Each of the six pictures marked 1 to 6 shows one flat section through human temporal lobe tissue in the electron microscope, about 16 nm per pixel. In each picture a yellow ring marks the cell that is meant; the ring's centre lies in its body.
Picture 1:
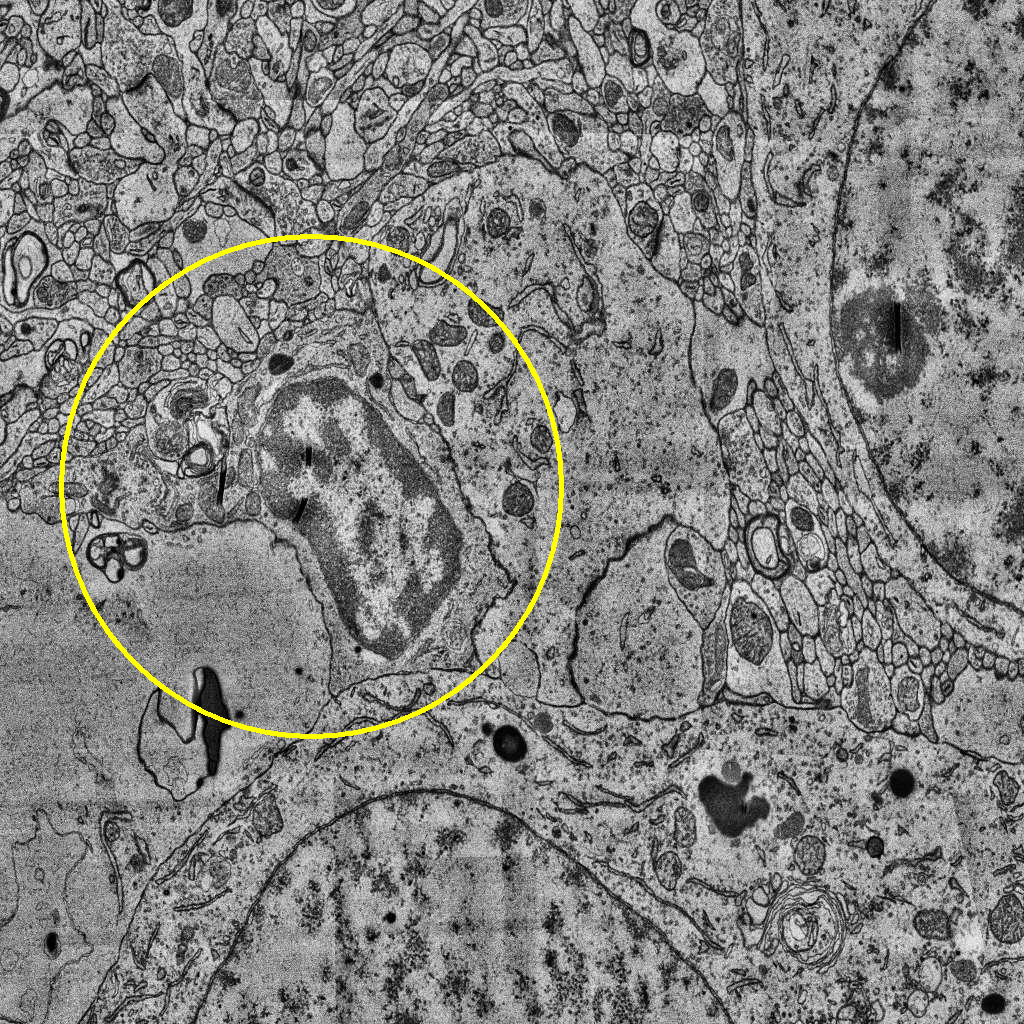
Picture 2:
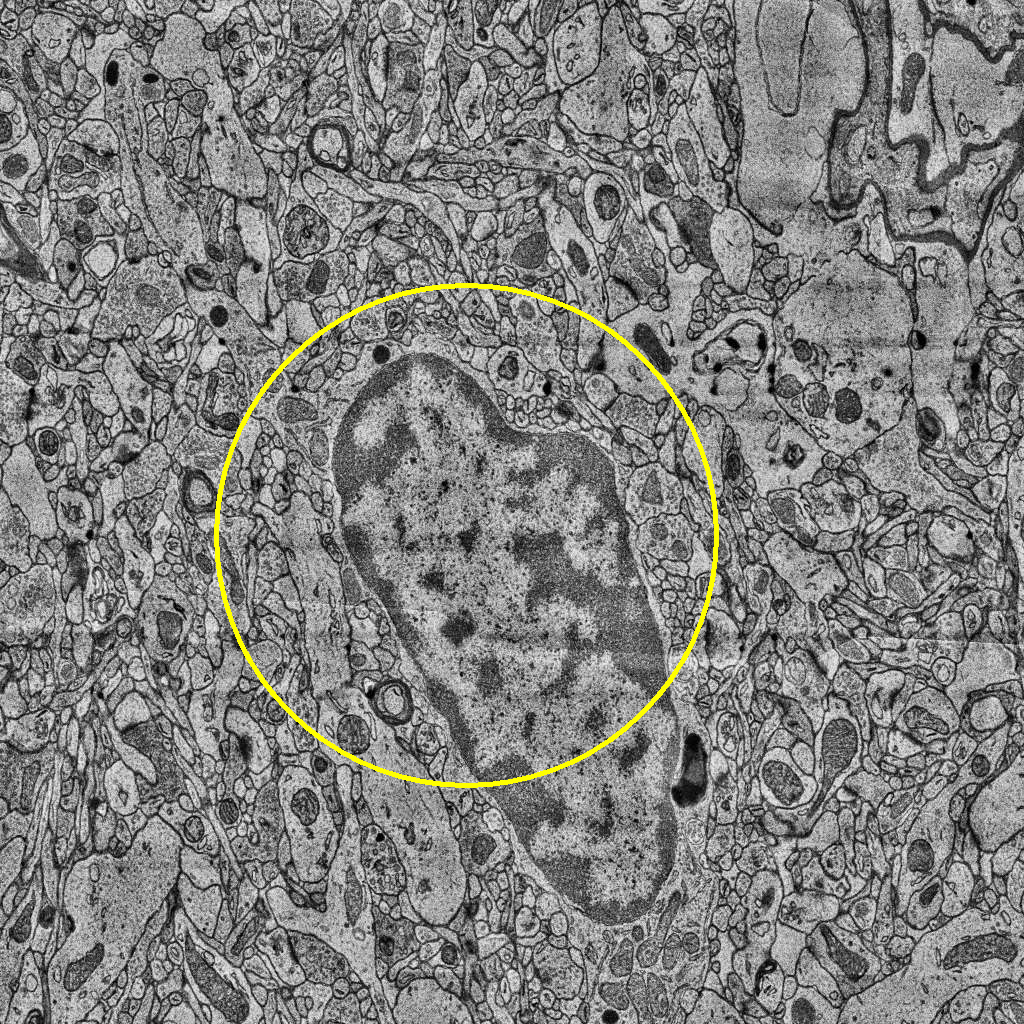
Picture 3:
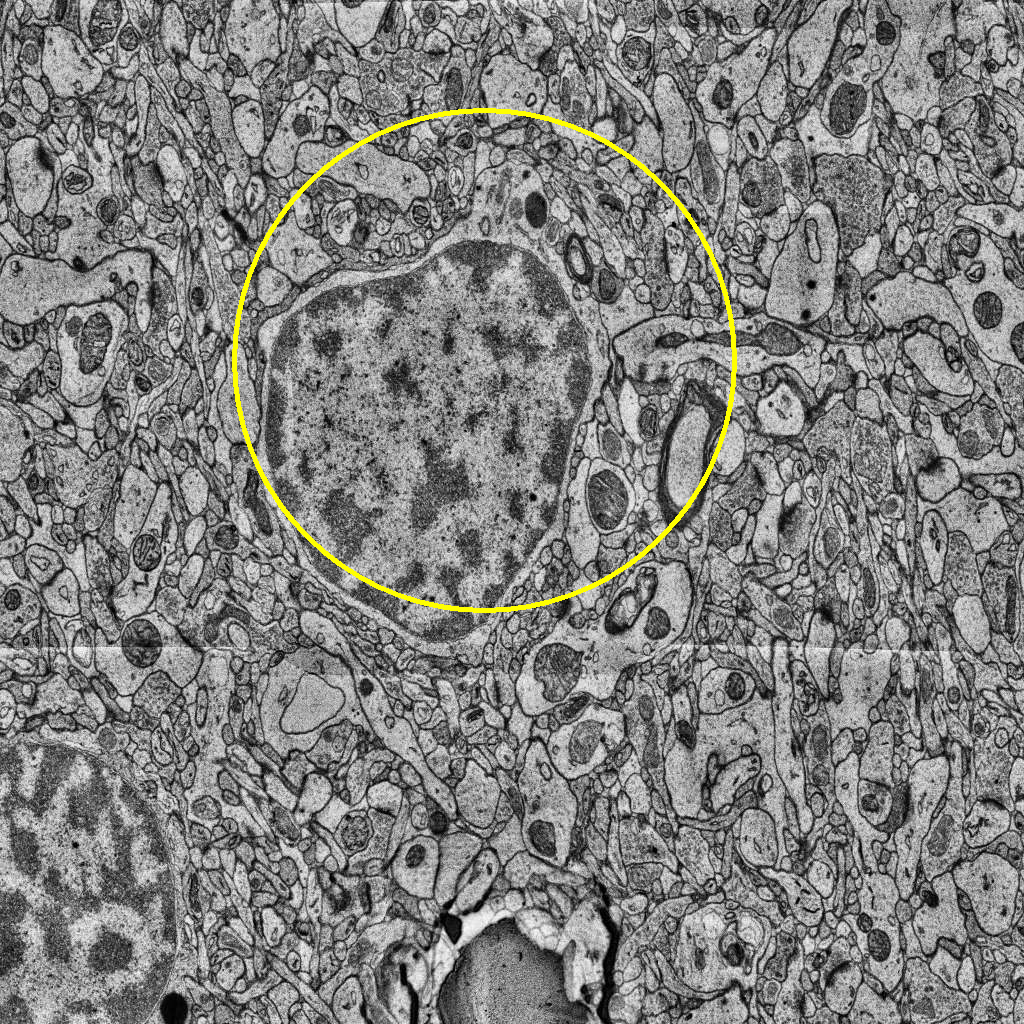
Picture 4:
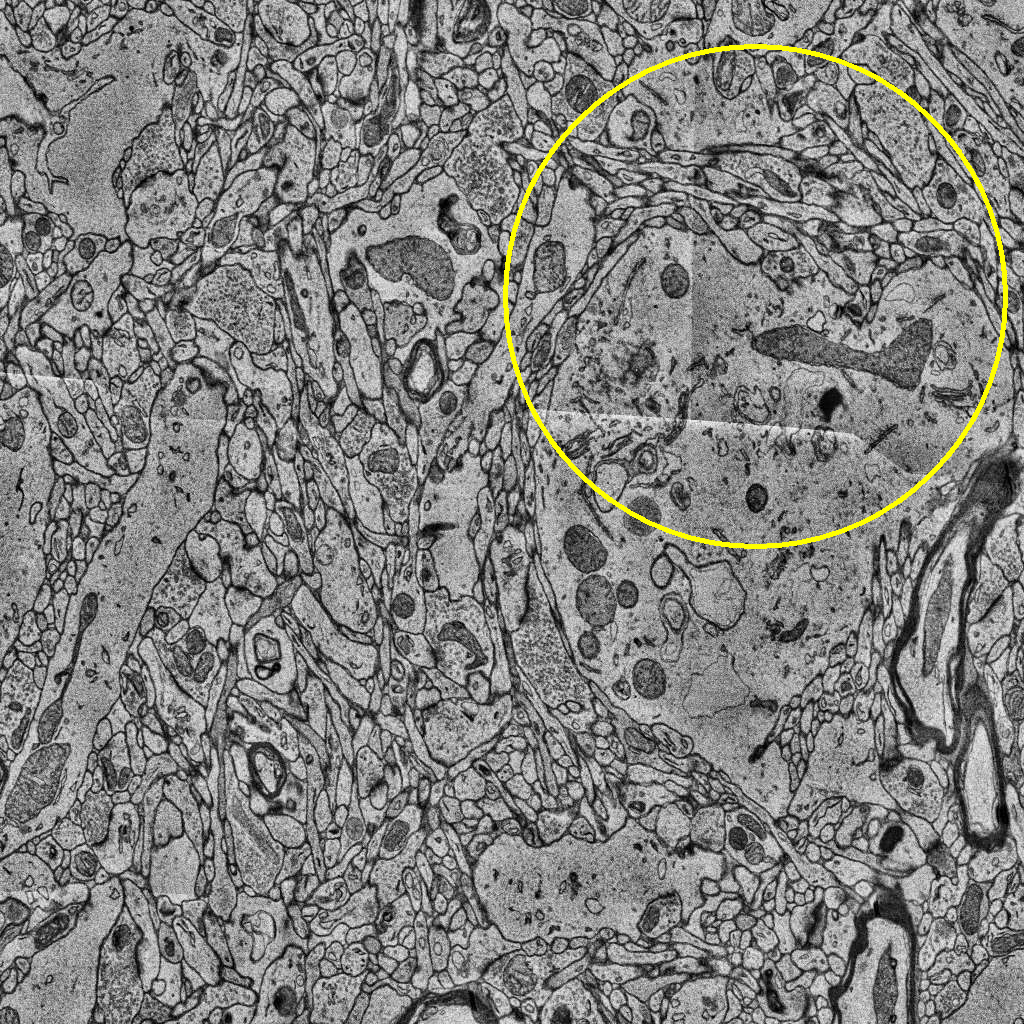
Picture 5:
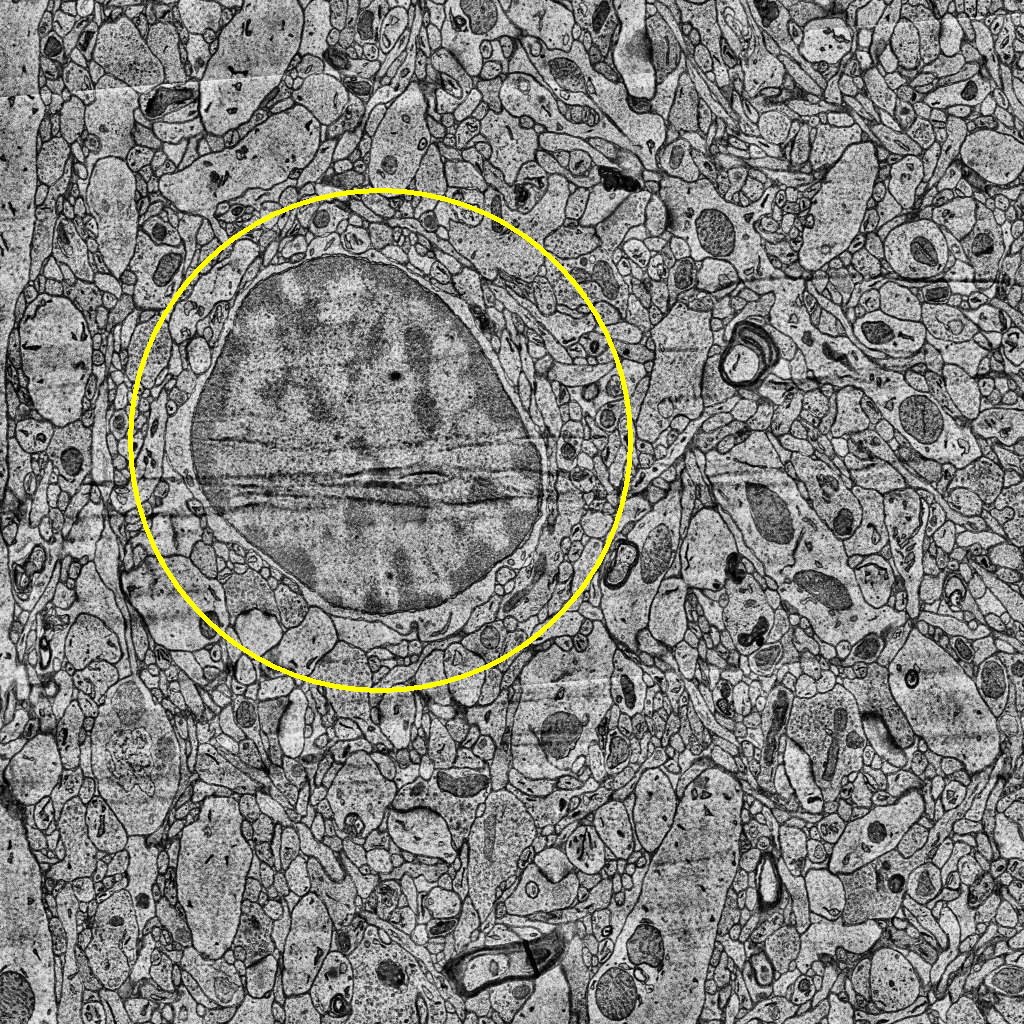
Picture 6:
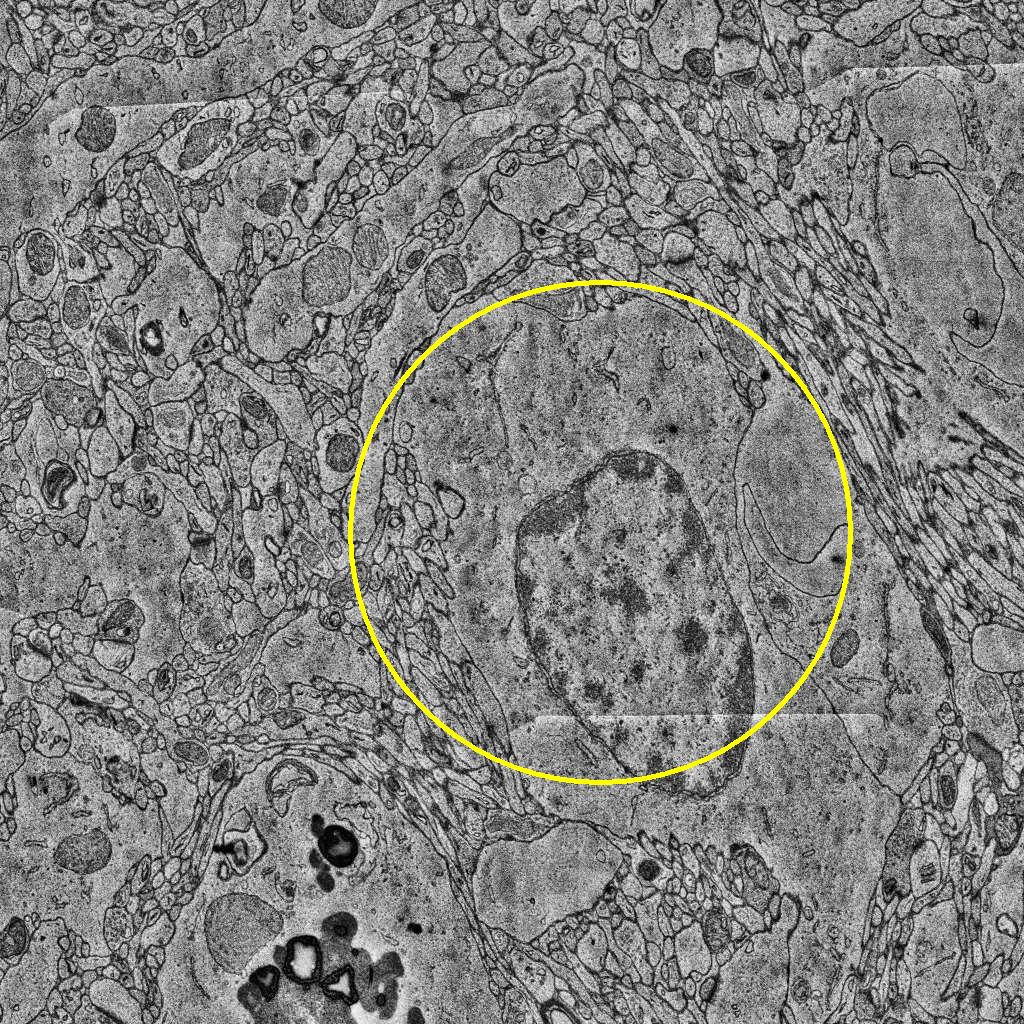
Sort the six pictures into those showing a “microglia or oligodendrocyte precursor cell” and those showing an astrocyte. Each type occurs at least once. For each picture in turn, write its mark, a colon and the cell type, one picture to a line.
1: microglia or oligodendrocyte precursor cell
2: microglia or oligodendrocyte precursor cell
3: microglia or oligodendrocyte precursor cell
4: astrocyte
5: microglia or oligodendrocyte precursor cell
6: astrocyte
